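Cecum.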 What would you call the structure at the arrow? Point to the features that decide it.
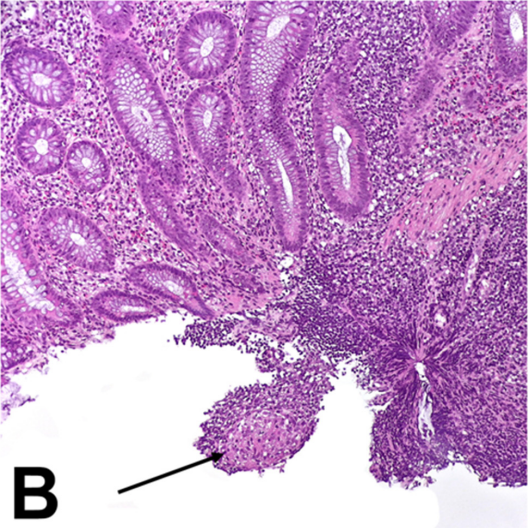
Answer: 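The arrow points to a small rounded nodule of pale cells. The nodule stands out from the surrounding dense inflammatory infiltrate.
Conclusion: Granuloma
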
